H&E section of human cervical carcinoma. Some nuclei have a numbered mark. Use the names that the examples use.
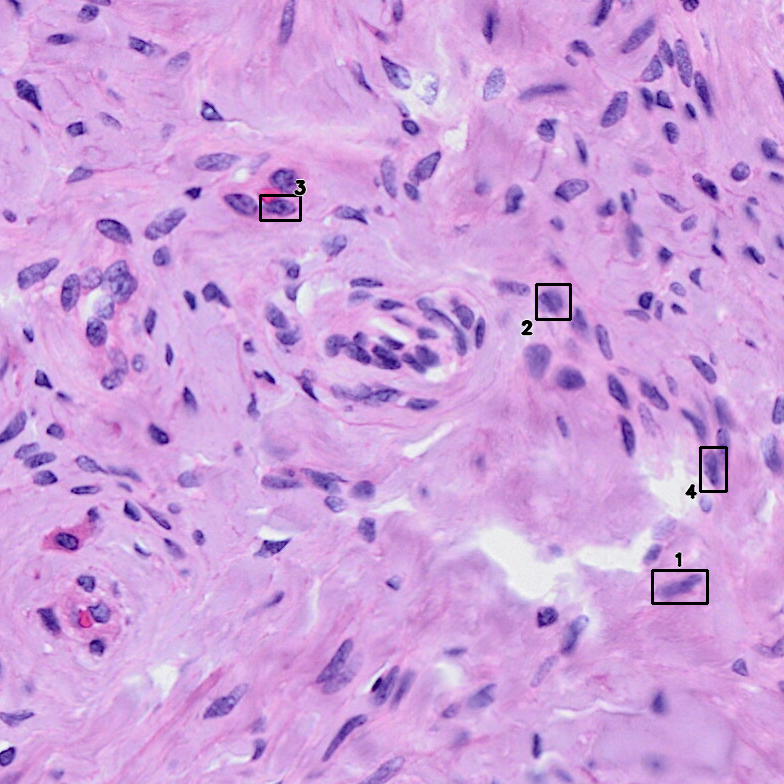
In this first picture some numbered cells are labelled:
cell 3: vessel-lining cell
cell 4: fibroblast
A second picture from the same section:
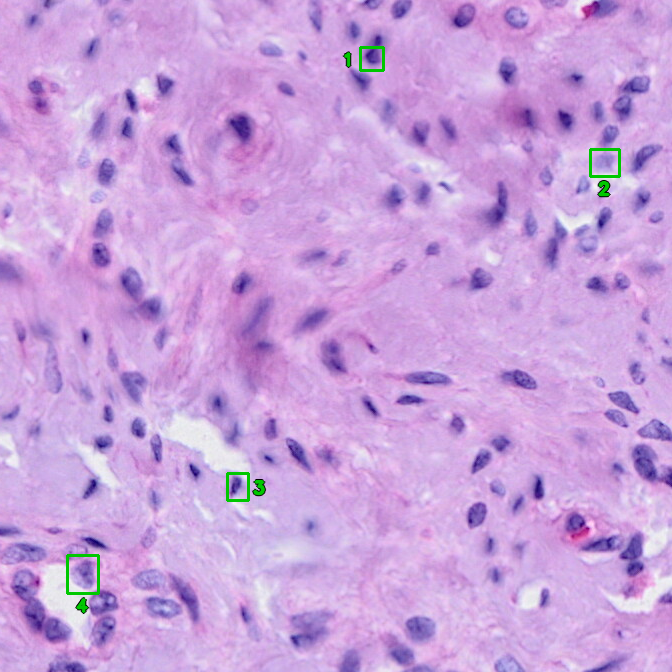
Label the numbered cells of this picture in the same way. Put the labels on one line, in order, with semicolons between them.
fibroblast; fibroblast; fibroblast; vessel-lining cell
